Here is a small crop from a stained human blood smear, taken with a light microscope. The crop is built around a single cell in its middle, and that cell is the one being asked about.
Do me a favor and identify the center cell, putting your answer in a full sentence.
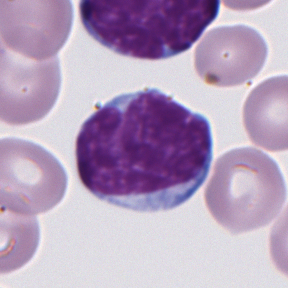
The central cell, amid any neighbouring cells, is a lymphocyte.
